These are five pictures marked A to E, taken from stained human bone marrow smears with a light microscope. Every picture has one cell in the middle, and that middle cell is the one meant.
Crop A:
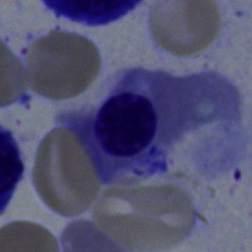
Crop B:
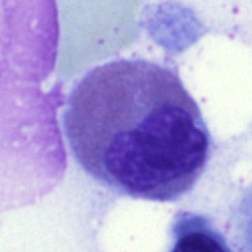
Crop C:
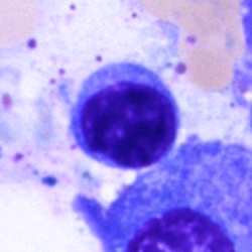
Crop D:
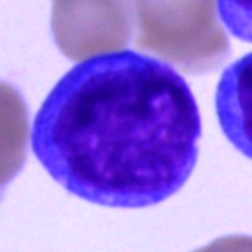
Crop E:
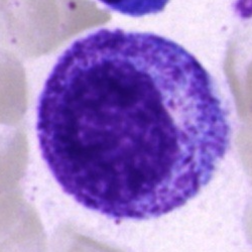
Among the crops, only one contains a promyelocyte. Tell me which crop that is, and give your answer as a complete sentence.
Crop E is the right one; it is the crop showing a promyelocyte.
